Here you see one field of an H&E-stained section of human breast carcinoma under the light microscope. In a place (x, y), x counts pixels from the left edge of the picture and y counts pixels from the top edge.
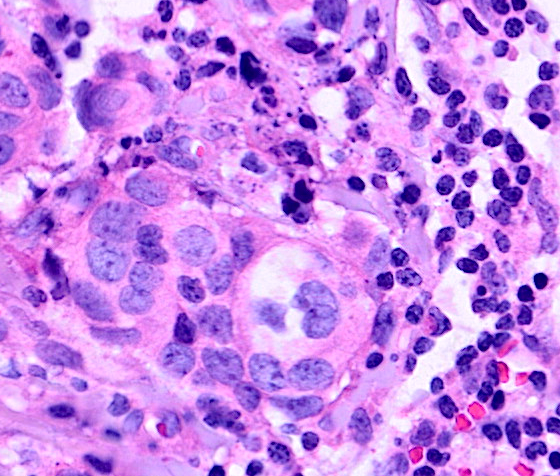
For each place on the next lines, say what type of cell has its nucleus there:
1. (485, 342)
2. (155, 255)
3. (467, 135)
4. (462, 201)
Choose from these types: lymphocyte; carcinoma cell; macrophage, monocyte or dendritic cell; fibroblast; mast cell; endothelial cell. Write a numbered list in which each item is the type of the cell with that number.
1. lymphocyte
2. carcinoma cell
3. lymphocyte
4. lymphocyte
